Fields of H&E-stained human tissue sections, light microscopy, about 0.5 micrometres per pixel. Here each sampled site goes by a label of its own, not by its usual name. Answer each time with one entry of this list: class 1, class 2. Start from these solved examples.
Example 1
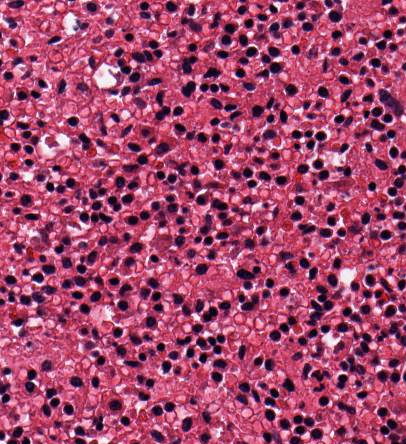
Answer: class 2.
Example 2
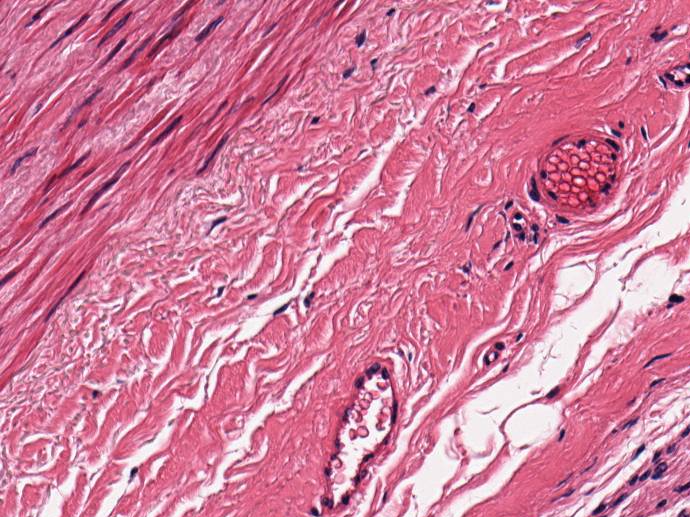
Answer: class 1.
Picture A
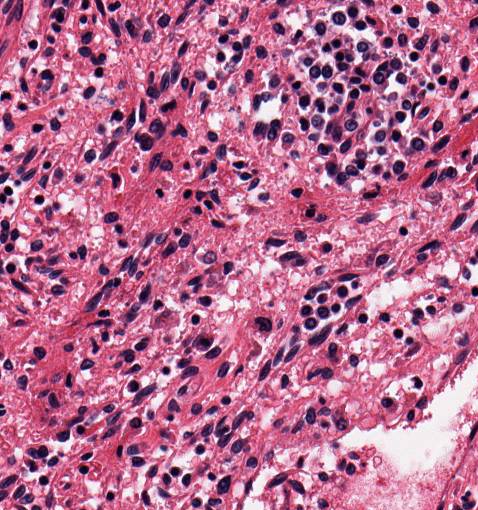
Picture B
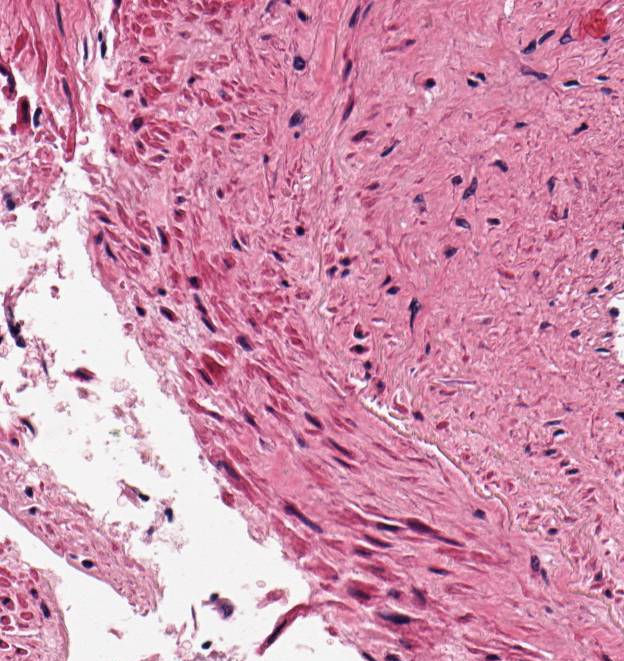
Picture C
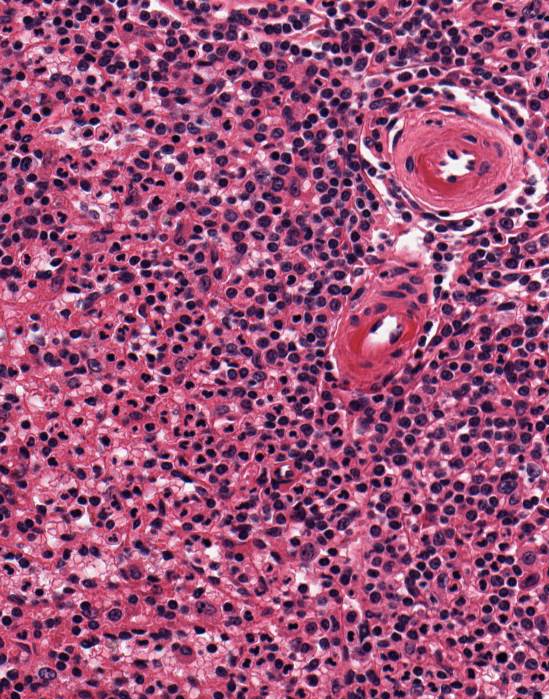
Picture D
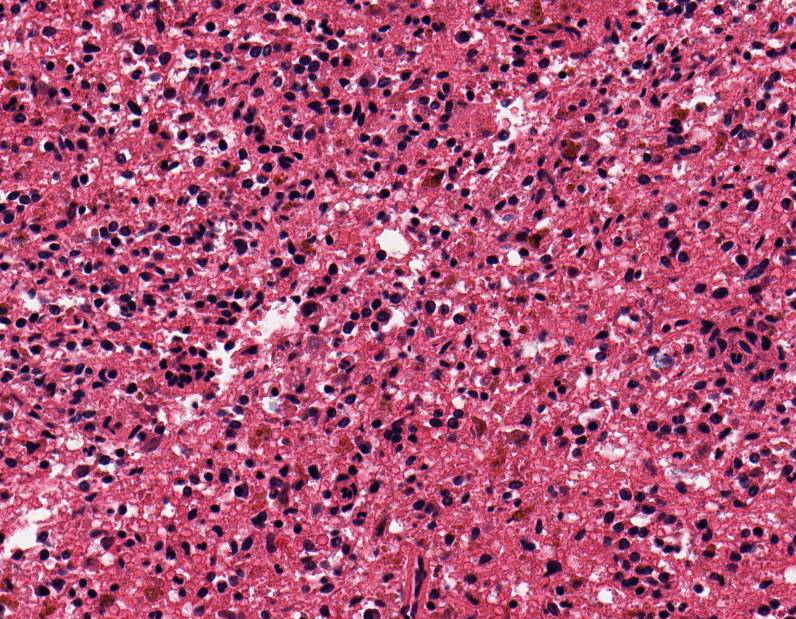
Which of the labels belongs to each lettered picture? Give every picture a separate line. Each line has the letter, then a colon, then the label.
A: class 2.
B: class 1.
C: class 2.
D: class 2.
